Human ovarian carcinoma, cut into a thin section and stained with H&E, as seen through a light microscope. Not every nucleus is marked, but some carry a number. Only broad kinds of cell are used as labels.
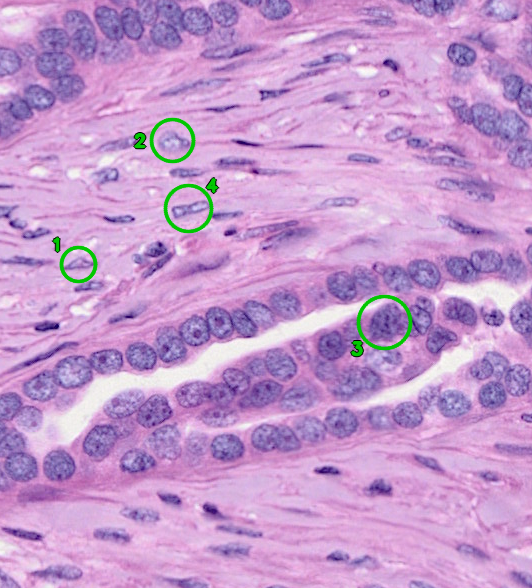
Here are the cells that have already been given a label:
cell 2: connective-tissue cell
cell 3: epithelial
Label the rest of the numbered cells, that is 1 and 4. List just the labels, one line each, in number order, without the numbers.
connective-tissue cell
connective-tissue cell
